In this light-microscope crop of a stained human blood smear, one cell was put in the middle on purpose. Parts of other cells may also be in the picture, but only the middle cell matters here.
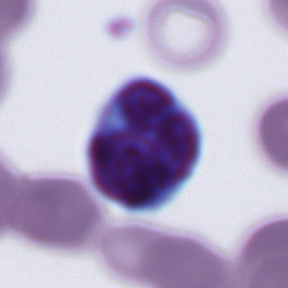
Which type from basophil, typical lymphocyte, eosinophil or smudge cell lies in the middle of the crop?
typical lymphocyte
